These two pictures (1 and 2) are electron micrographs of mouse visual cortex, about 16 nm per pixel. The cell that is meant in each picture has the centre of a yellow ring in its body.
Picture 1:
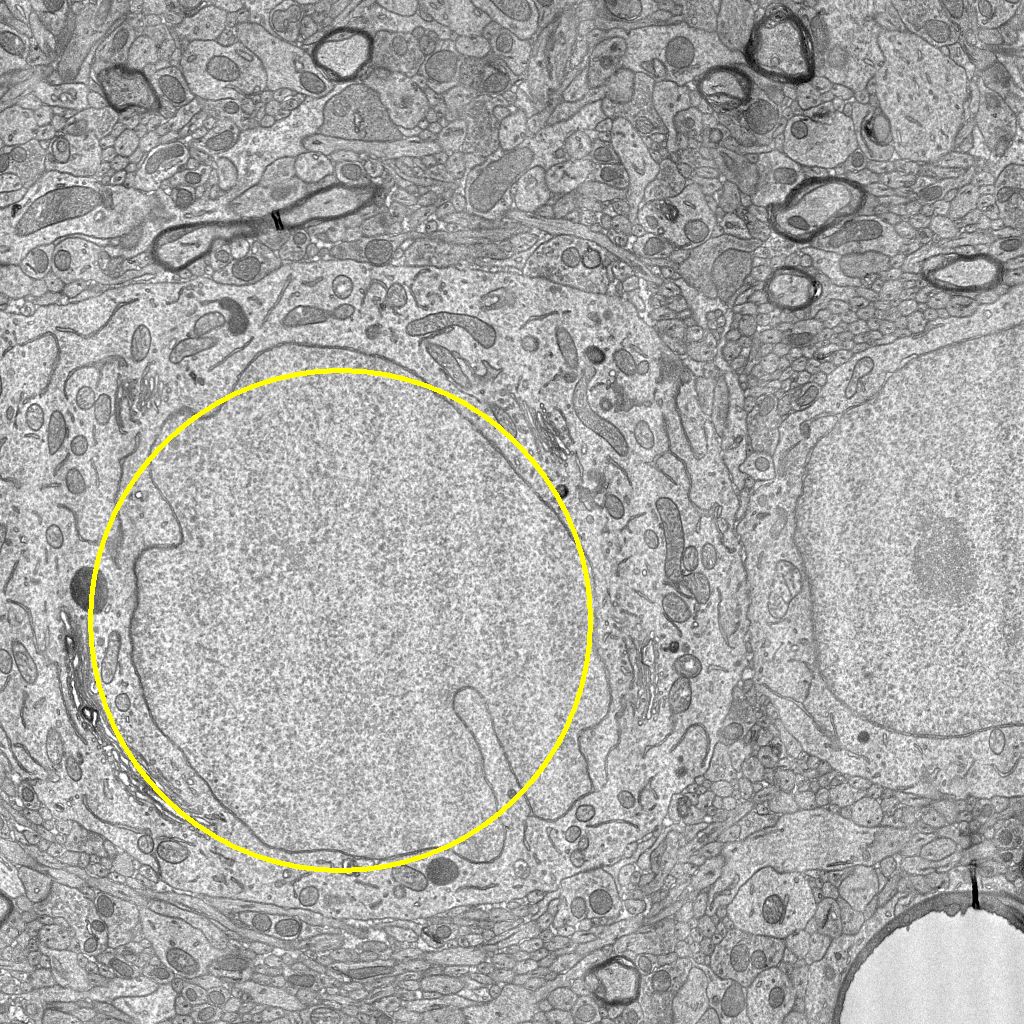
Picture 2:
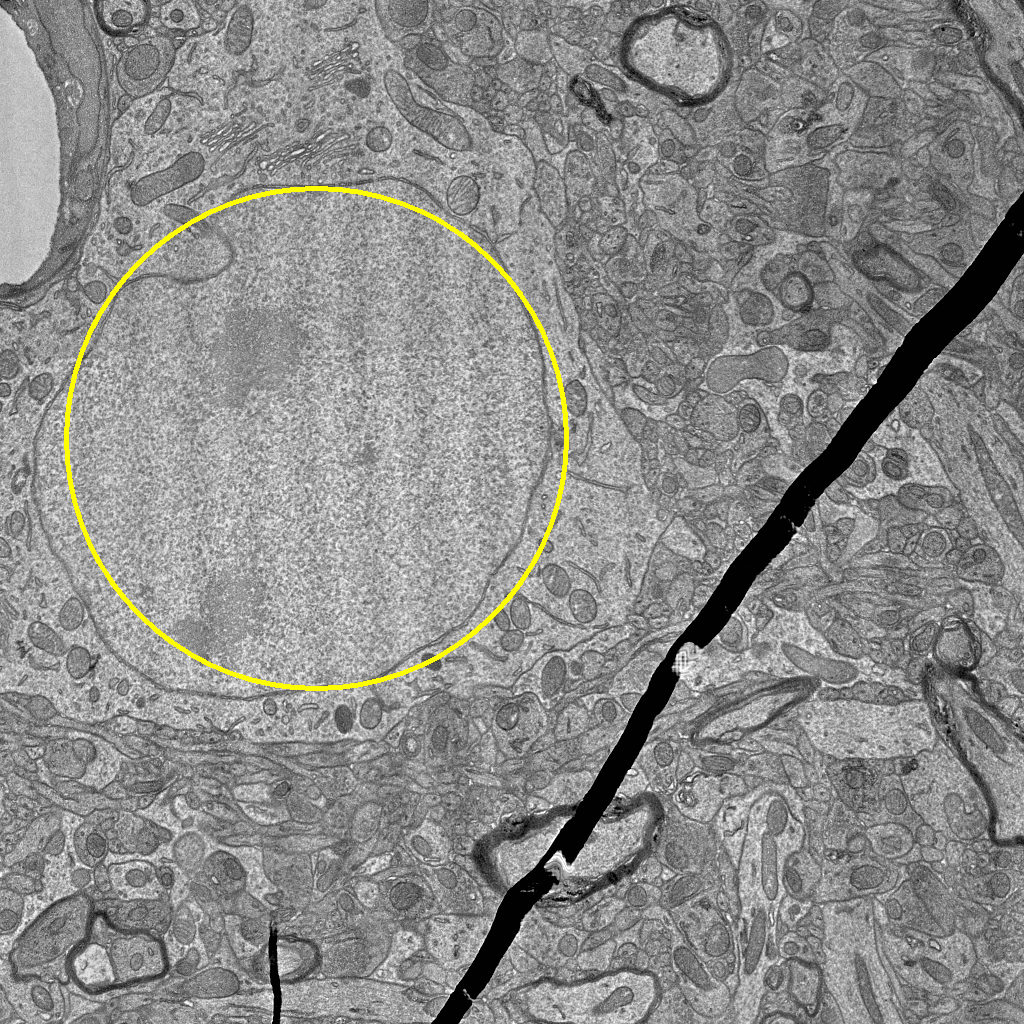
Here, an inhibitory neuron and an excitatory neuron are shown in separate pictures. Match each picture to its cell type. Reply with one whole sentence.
Picture 1 is of an inhibitory neuron, and picture 2 is of an excitatory neuron.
